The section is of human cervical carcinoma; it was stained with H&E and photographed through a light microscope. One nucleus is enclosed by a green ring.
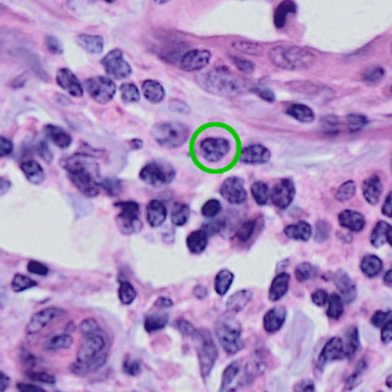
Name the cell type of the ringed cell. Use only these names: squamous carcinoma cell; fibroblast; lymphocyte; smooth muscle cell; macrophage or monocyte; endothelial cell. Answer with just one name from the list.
lymphocyte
